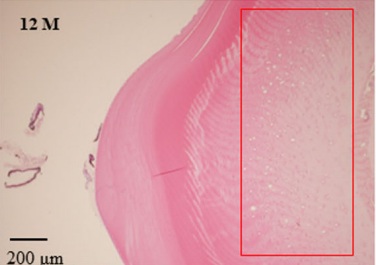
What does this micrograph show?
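This is a section through the edge of the lens, stained pink. At the periphery lies a broad, densely pink band of compact cortex, and deeper in the lens fibres run in long parallel rows, their ends appearing as a fringe of serrated, comb-like strands. Beyond this fringe the tissue turns pale and more homogeneous, toward the nucleus. Within a region outlined by a red box in this deeper zone, many small, round, clear spaces are scattered through the pale fibre mass, giving it a speckled, vacuolated look.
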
